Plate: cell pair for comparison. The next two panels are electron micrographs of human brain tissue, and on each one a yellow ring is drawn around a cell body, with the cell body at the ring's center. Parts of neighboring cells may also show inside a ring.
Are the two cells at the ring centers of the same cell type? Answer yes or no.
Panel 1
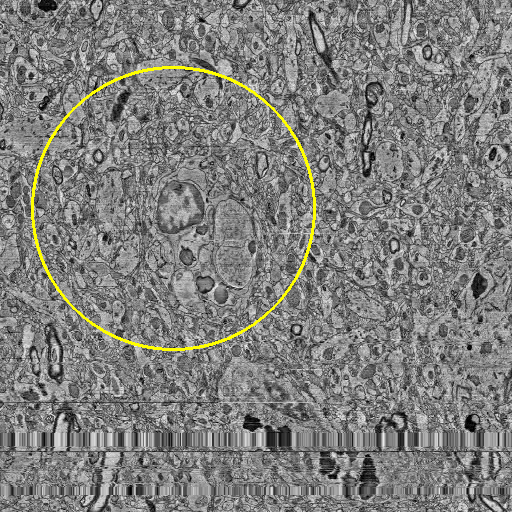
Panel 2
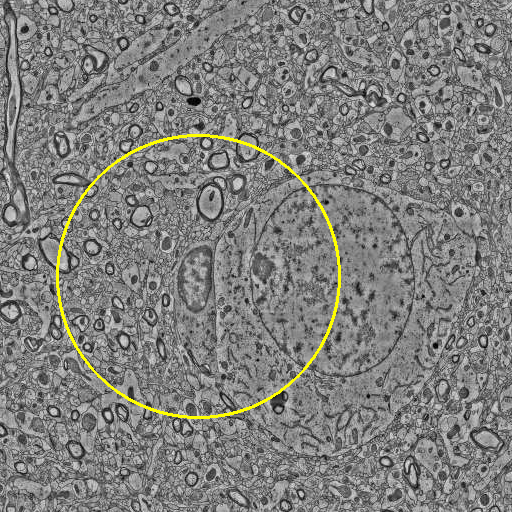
no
